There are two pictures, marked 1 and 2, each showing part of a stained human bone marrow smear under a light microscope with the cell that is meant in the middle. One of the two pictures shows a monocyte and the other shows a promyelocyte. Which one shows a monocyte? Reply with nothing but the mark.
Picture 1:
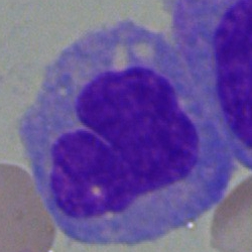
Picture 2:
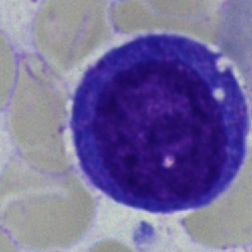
1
